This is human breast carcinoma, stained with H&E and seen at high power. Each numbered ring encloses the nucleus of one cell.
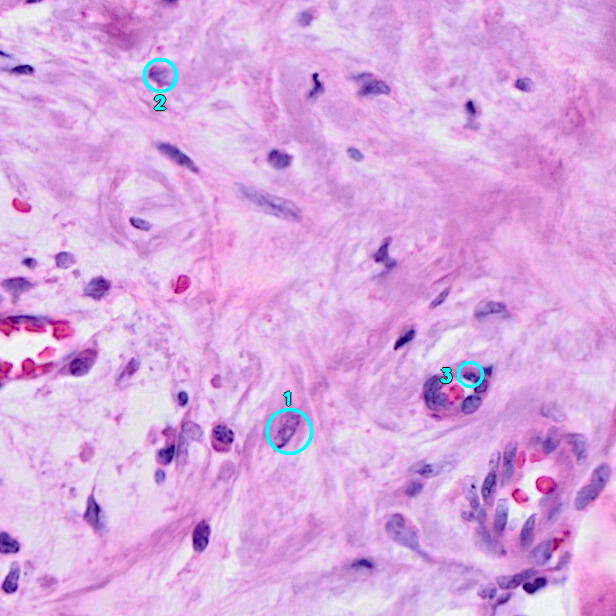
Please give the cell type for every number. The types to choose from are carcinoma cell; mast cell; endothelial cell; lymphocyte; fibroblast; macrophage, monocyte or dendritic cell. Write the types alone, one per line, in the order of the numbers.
fibroblast
fibroblast
endothelial cell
